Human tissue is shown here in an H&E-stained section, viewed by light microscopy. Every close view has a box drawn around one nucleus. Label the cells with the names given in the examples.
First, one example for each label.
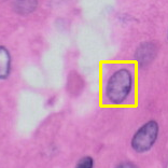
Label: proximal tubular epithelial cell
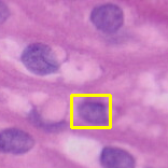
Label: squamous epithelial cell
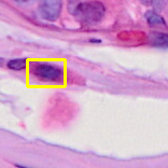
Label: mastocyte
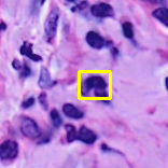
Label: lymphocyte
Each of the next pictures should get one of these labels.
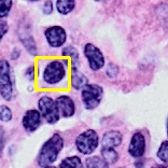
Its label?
lymphocyte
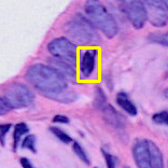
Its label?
lymphocyte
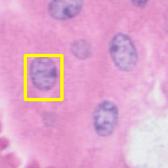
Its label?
proximal tubular epithelial cell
